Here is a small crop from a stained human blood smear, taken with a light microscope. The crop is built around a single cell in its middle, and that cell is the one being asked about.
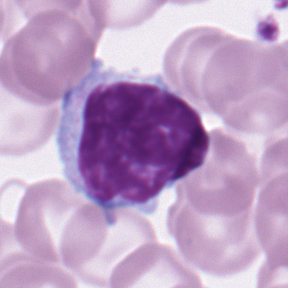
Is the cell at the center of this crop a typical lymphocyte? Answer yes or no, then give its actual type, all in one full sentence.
Yes, the cell in the middle is a typical lymphocyte.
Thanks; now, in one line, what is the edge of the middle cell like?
The outer contour of the cell is irregular, with ragged portions or projections along it.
